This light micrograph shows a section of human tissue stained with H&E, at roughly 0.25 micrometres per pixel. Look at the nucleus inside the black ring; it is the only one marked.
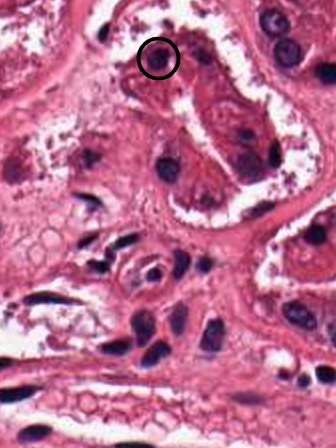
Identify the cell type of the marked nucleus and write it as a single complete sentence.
To a proximal tubule cell belongs the marked nucleus.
